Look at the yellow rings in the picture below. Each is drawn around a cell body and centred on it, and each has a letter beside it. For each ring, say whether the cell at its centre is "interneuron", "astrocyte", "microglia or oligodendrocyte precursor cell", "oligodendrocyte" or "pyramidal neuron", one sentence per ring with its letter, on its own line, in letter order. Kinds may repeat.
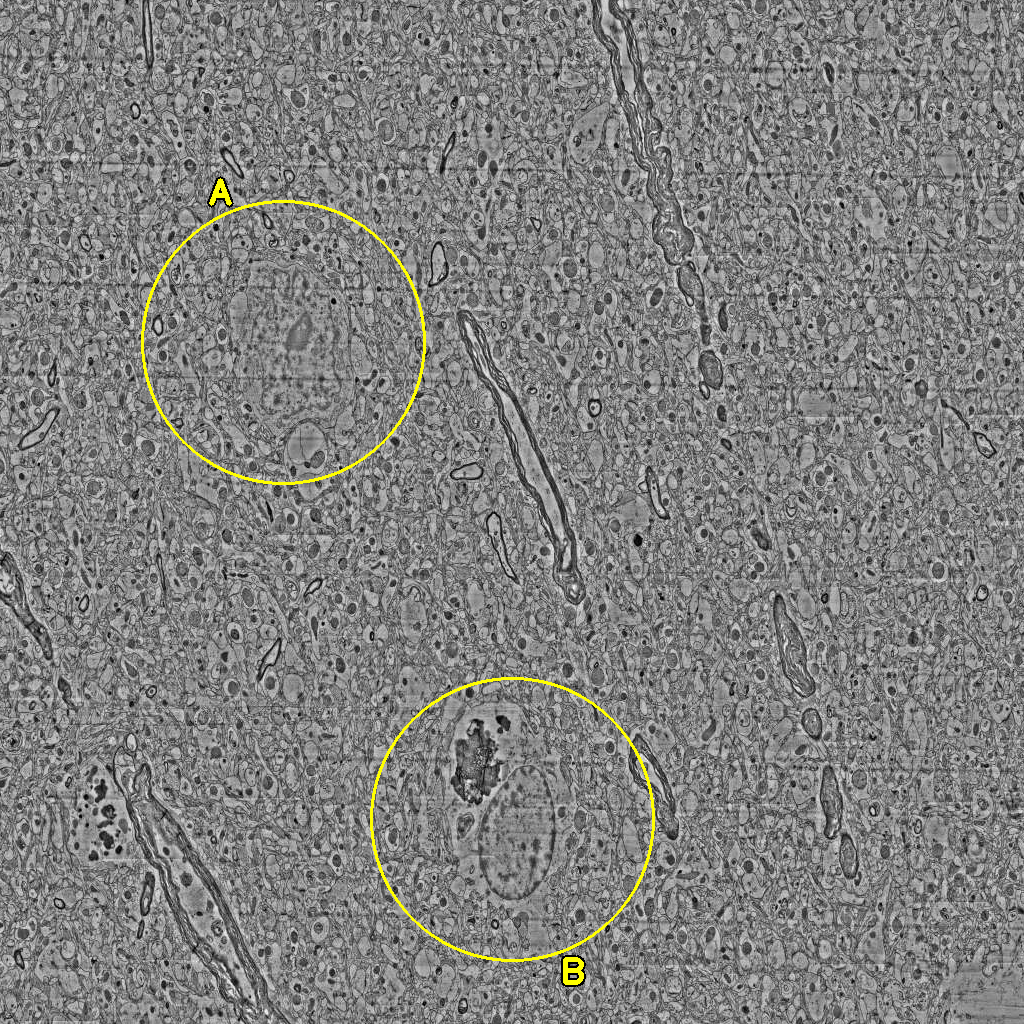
The centred cell of ring A is an interneuron.
The centred cell of ring B is an astrocyte.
